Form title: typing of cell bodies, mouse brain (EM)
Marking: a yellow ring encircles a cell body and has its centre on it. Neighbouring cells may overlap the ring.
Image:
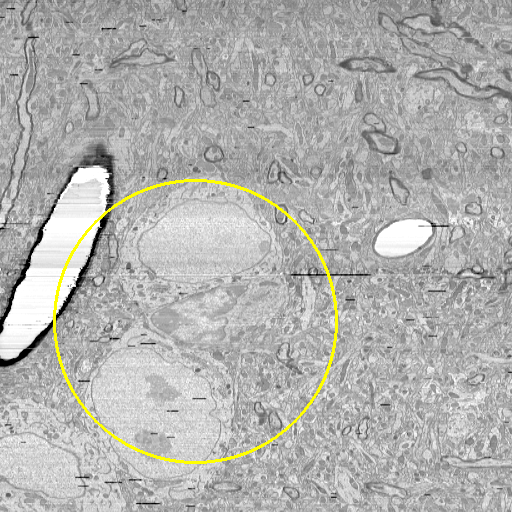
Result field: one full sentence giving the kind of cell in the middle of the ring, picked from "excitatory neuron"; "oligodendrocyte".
In the picture, the ring is centred on an oligodendrocyte, whose cell body it encircles.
